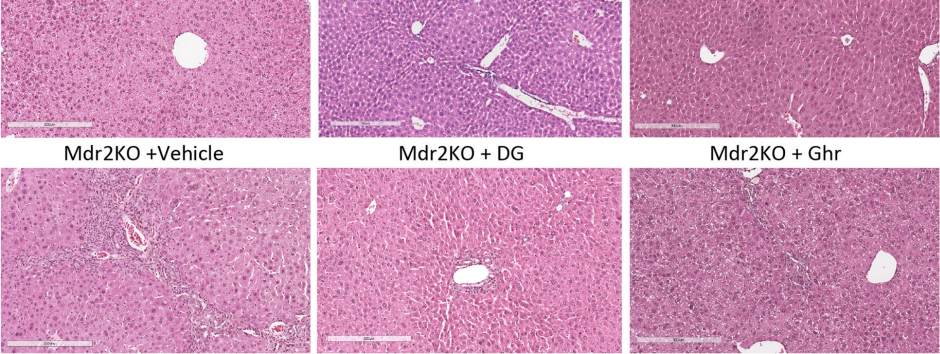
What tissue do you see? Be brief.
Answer: liver tissue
